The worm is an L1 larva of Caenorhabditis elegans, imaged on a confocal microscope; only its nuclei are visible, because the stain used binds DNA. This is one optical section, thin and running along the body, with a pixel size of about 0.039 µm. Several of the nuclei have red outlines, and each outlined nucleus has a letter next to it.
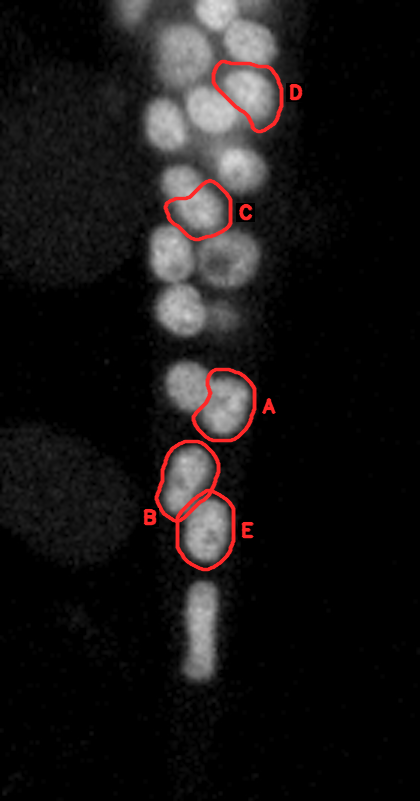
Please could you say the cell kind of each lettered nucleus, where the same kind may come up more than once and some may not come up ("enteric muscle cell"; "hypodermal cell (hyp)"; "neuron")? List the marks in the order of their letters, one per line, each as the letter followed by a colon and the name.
A: hypodermal cell (hyp)
B: hypodermal cell (hyp)
C: neuron
D: enteric muscle cell
E: hypodermal cell (hyp)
